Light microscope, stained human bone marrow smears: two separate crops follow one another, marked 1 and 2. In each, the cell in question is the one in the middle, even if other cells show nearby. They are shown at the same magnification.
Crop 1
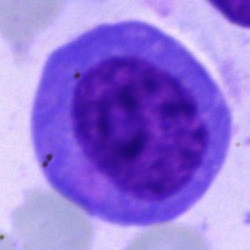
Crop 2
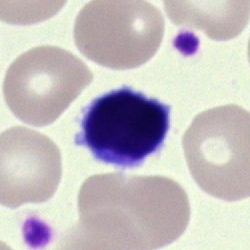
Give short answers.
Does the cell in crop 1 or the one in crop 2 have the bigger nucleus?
1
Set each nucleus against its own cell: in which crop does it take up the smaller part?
1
